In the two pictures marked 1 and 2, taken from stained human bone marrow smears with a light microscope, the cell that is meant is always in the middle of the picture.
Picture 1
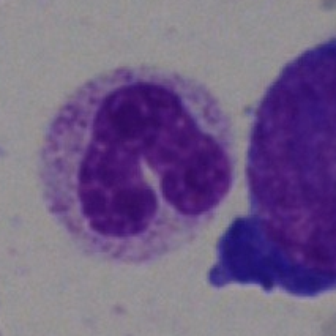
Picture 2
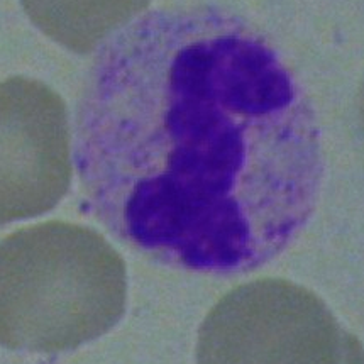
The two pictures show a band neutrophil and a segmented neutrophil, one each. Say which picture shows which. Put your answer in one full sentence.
Picture 2 shows a segmented neutrophil, while picture 1 shows a band neutrophil.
